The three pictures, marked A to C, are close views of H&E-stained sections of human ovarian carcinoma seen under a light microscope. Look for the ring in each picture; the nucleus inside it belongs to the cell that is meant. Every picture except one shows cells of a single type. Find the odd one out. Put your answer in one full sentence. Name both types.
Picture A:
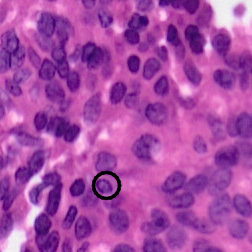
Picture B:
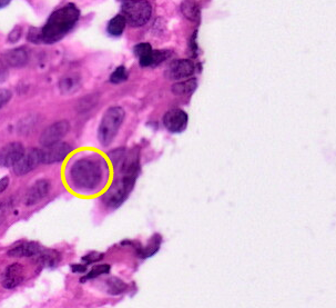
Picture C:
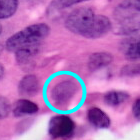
Picture A differs, because its cell is a “macrophage or monocyte” and the rest are carcinoma cells.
